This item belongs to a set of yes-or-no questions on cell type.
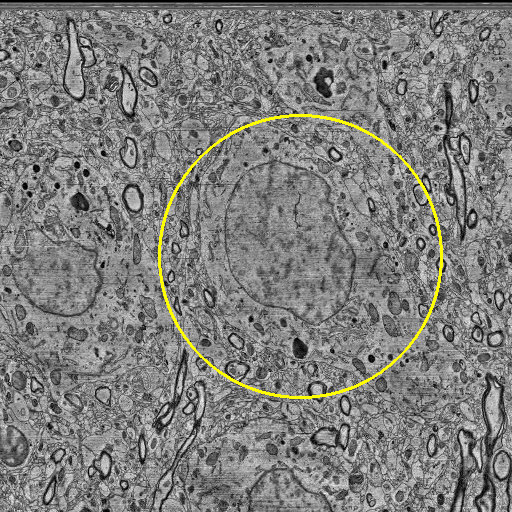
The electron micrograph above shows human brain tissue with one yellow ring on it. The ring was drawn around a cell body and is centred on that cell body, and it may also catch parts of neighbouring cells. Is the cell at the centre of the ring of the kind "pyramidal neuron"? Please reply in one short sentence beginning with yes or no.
Yes, that cell is of the named kind.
